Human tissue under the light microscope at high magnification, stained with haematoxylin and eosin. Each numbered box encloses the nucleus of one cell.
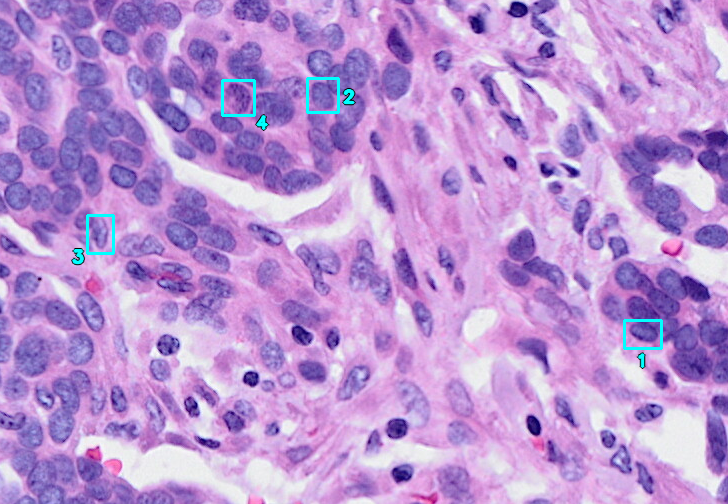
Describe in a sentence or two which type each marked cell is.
Cell 1 is a carcinoma cell, cell 2 is a carcinoma cell, cell 3 is a fibroblast and cell 4 is a carcinoma cell.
